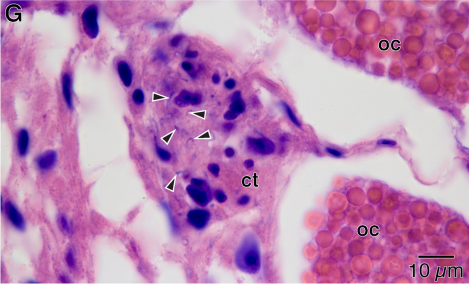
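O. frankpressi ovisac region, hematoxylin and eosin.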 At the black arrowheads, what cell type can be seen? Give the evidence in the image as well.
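The arrowheads point to thin dark-purple threads in pink-purple tissue. The threads lie between larger dark-blue rounded nuclei.
Hence: sperm.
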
